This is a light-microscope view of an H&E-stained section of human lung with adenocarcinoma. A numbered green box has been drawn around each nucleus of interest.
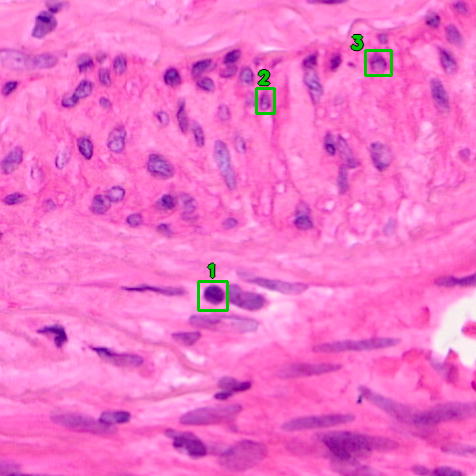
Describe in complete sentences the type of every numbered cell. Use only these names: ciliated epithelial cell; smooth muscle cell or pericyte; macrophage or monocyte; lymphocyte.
Cell 1 is a lymphocyte, cell 2 is a smooth muscle cell or pericyte and cell 3 is a smooth muscle cell or pericyte.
